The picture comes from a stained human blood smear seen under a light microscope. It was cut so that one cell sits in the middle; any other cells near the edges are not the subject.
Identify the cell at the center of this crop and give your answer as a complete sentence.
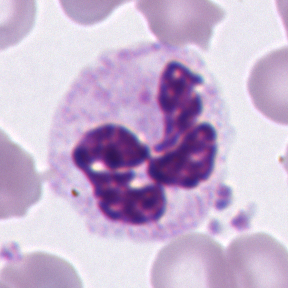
In short, the cell at the center is a segmented neutrophil.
